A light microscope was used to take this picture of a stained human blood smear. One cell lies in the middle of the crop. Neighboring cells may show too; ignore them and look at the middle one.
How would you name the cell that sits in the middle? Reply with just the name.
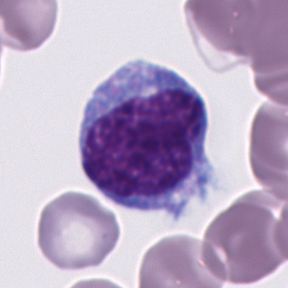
monocyte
